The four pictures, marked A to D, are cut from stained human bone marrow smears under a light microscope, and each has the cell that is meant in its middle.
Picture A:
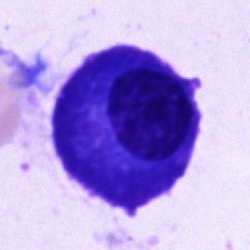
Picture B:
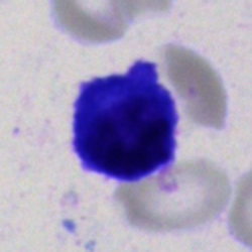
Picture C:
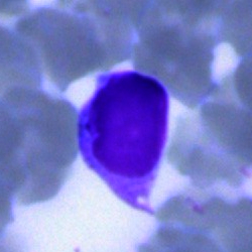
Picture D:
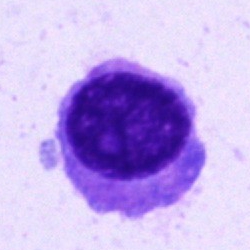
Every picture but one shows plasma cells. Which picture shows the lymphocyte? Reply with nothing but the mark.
C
